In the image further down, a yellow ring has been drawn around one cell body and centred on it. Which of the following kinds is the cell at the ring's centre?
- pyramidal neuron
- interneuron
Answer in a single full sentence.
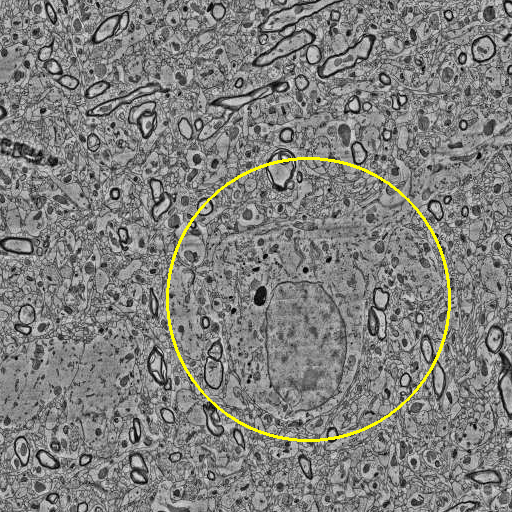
In the picture, the cell sitting at the centre of the yellow ring is a pyramidal neuron.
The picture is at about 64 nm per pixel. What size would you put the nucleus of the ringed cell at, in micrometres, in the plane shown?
In this plane, about 8 by 5 micrometres: the nucleus is clearly longer than it is wide.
